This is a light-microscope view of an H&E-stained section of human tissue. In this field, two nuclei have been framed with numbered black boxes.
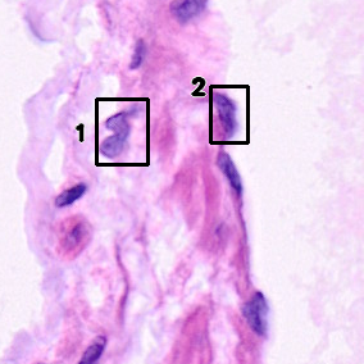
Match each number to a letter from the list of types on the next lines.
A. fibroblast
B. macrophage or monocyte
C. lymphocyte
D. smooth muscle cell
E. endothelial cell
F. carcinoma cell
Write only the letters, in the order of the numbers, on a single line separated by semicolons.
B; E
